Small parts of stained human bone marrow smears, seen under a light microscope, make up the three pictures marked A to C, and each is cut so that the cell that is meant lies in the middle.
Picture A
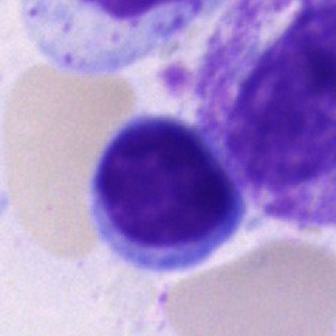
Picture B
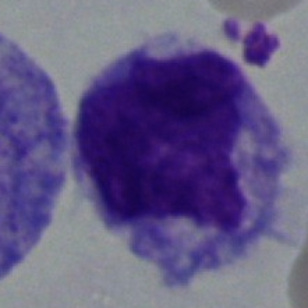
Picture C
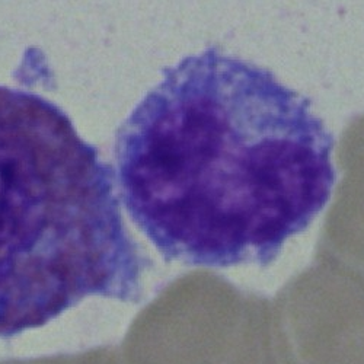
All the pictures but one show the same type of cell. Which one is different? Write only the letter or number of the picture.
A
